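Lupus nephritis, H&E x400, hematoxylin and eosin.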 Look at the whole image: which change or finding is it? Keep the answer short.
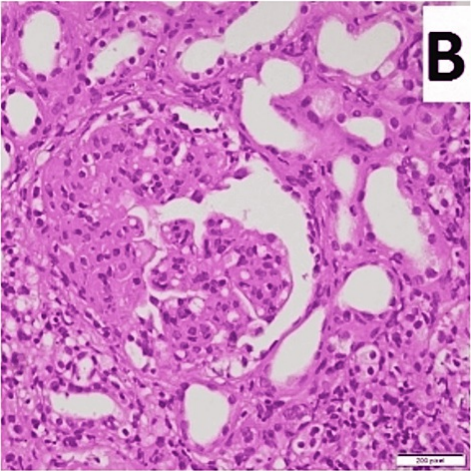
Cellular crescent.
